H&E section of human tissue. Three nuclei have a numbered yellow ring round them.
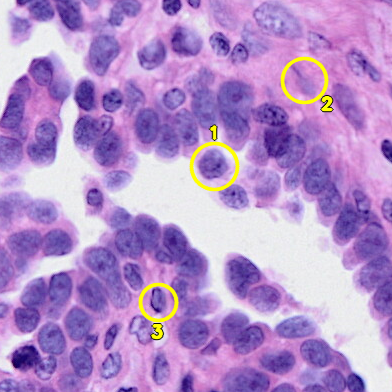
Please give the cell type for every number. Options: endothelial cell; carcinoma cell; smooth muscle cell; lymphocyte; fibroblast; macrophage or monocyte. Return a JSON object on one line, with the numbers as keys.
{"1": "macrophage or monocyte", "2": "fibroblast", "3": "macrophage or monocyte"}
